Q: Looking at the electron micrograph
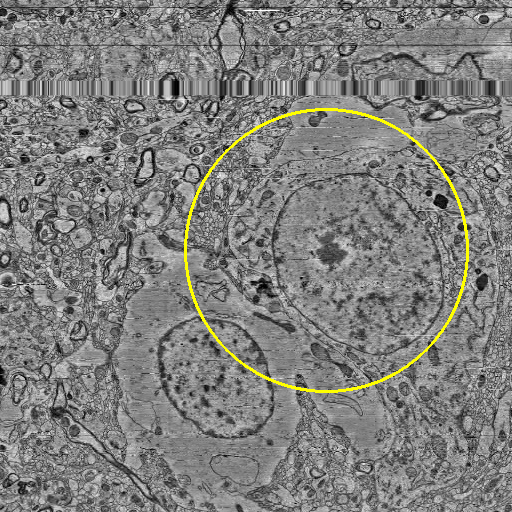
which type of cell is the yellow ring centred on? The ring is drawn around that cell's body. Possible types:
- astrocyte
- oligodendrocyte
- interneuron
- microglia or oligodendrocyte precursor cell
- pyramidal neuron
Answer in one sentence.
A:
The yellow ring is centred on a pyramidal neuron.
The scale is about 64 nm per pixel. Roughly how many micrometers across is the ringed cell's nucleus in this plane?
In this plane the nucleus measures roughly 13 by 10 micrometers.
